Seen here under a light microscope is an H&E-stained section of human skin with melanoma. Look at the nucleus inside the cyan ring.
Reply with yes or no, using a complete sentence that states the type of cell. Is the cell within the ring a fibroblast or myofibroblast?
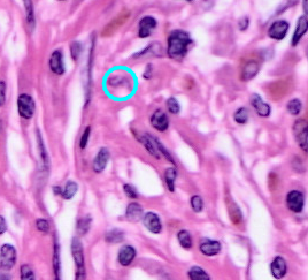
Yes, the cell within the ring is properly called a fibroblast or myofibroblast in this section.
